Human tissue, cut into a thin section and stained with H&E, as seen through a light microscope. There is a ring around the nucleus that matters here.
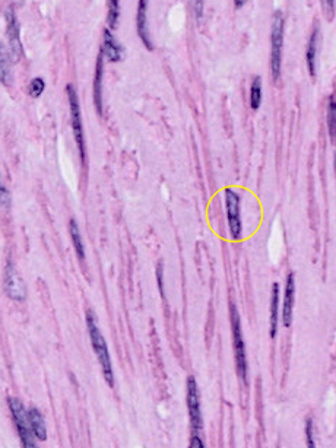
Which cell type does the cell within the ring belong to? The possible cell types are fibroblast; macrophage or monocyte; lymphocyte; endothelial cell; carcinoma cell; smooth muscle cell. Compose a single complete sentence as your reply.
In the stained section, the cell within the ring is a fibroblast.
